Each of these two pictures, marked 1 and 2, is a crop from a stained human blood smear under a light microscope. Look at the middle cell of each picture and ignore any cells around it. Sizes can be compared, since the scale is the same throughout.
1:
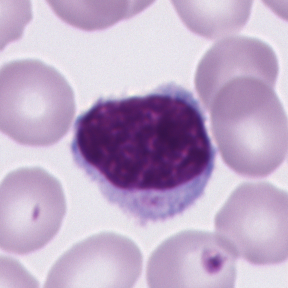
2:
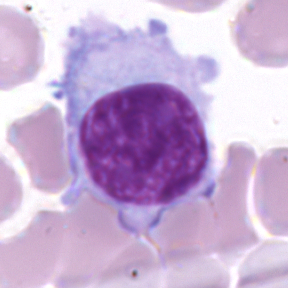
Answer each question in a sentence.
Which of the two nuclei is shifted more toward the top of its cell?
The nucleus in crop 1 lies further toward the top of its cell.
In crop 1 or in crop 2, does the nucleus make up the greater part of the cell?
It is the cell in crop 1 that is filled more by its nucleus.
